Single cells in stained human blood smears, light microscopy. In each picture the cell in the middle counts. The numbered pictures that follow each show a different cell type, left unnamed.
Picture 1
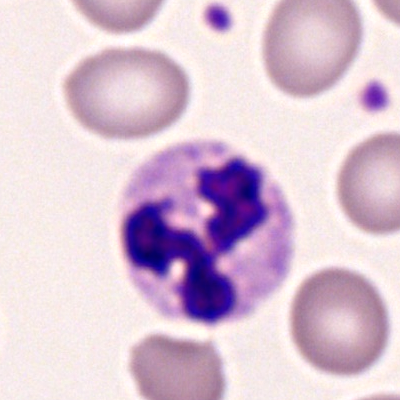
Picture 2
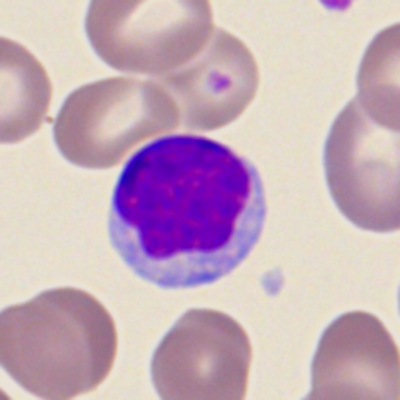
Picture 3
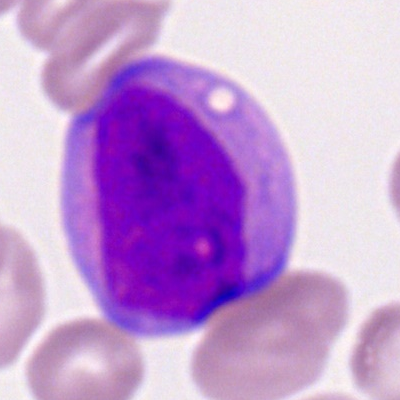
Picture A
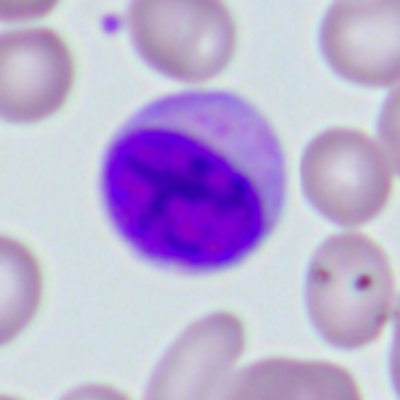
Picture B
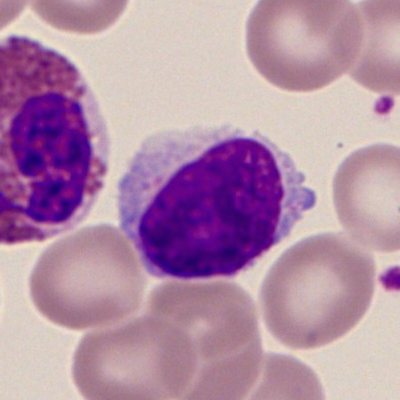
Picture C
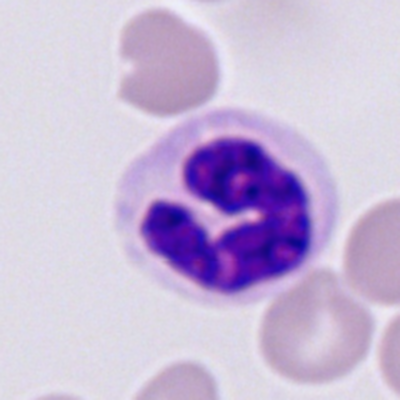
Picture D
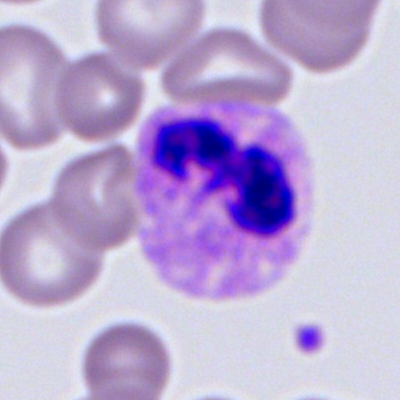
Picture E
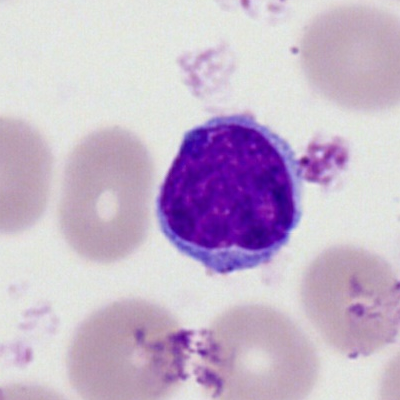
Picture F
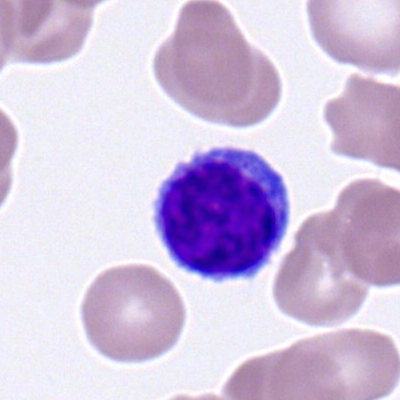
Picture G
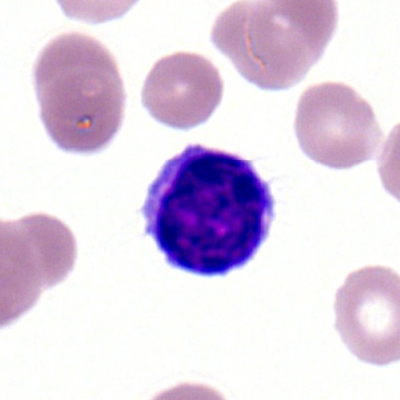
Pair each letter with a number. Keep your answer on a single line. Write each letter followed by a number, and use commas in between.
A 2, B 2, C 1, D 1, E 2, F 2, G 2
